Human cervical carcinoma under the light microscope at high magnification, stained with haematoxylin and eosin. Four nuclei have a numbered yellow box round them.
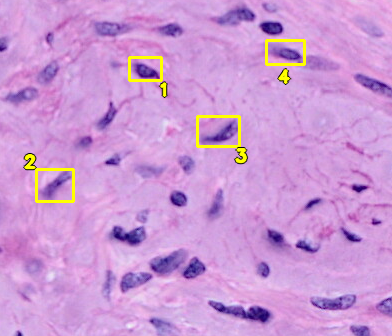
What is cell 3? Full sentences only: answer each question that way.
Regarding cell 3, this one is a fibroblast.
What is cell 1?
Corresponding to a smooth muscle cell is the cell labelled 1.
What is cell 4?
Identified by the number 4, the cell is a fibroblast.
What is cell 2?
The cell that is numbered 2 is a fibroblast.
